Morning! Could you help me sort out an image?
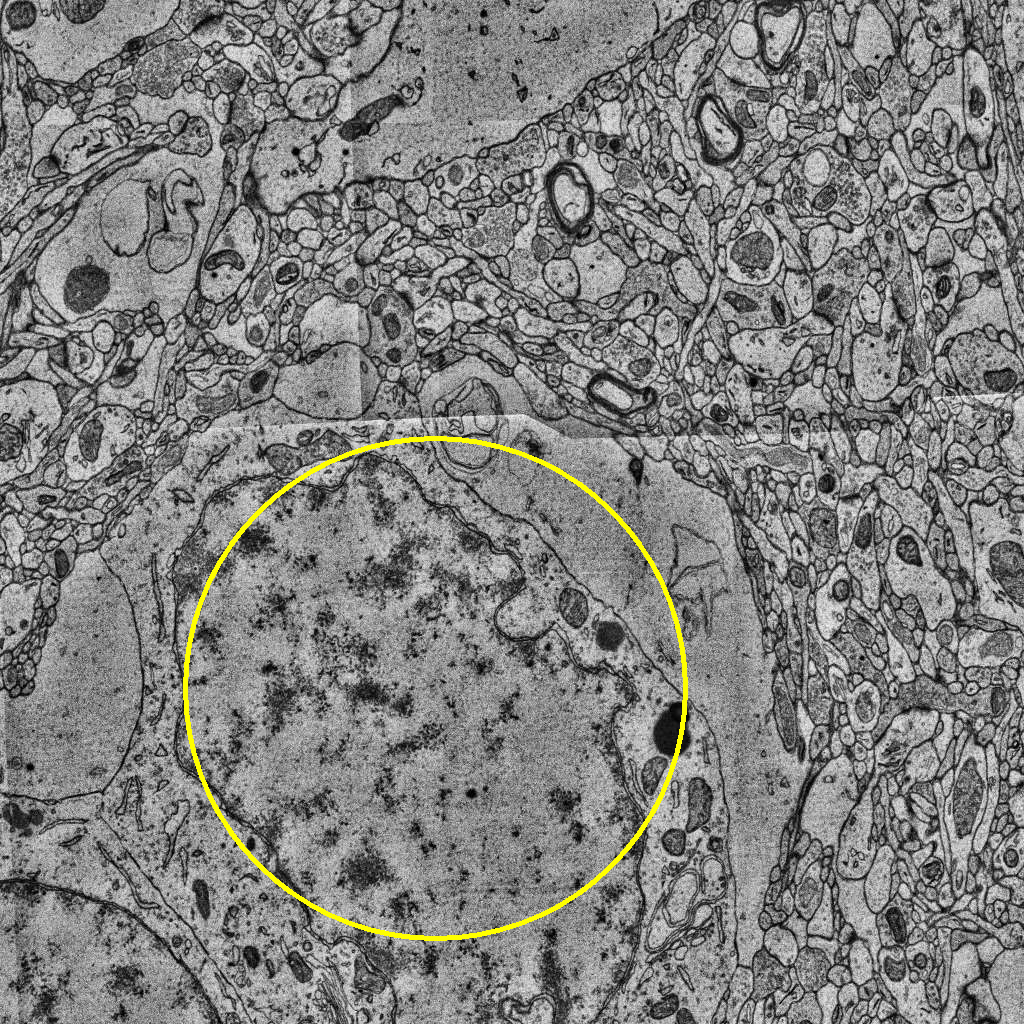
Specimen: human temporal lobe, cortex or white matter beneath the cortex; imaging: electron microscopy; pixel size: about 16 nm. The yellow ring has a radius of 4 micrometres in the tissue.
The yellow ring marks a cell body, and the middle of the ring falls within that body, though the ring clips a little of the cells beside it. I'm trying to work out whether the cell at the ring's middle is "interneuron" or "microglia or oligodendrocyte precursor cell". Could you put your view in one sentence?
The cell body at the ring's middle is that of an interneuron.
